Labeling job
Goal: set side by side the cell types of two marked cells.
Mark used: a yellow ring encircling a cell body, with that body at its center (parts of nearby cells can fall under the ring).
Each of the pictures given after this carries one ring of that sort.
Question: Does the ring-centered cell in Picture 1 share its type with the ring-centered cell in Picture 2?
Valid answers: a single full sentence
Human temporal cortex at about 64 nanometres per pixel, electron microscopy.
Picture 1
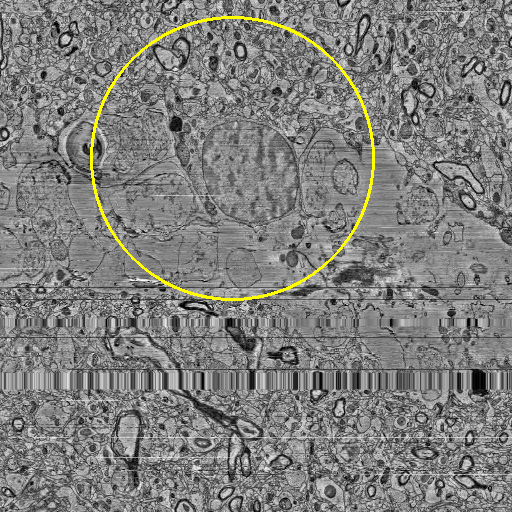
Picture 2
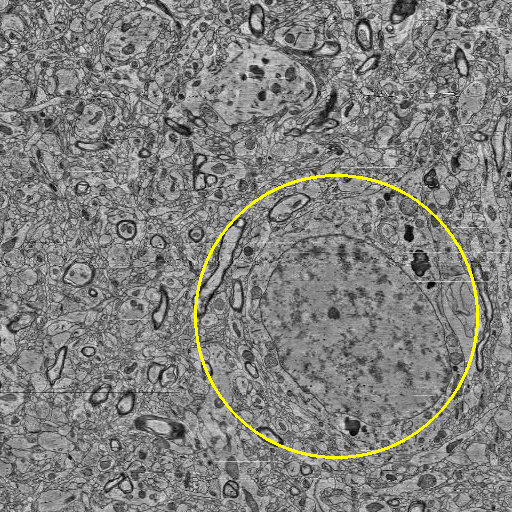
No, in Pictures 1 and 2 the cells at the ring centers have separate types.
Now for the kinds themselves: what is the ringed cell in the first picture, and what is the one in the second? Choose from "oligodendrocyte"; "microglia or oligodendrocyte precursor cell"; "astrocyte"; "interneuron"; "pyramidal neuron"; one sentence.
Here the first cell is an oligodendrocyte and the second cell is a pyramidal neuron.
